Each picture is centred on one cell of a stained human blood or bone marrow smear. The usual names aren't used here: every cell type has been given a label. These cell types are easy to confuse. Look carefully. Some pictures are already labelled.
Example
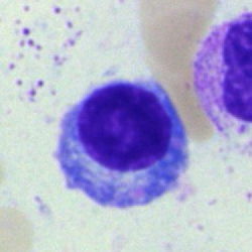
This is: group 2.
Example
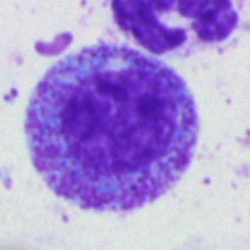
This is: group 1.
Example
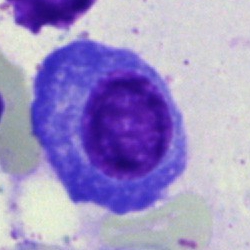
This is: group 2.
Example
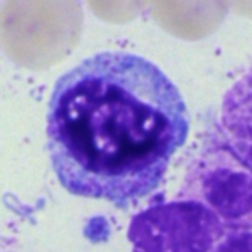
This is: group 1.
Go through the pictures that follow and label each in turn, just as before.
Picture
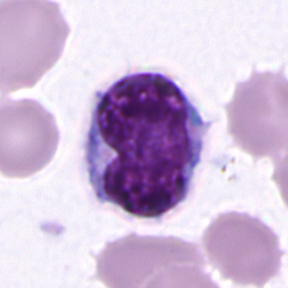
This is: group 2.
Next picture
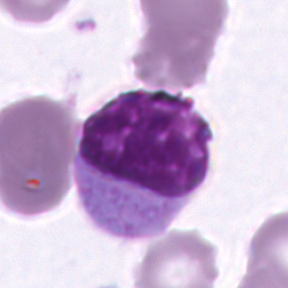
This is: group 2.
